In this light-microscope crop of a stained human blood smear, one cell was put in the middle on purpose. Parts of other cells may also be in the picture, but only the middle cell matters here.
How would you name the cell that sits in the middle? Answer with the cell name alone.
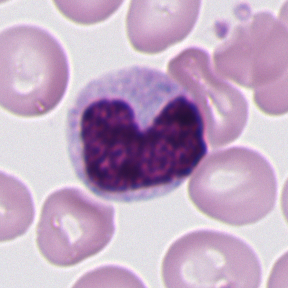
band neutrophil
